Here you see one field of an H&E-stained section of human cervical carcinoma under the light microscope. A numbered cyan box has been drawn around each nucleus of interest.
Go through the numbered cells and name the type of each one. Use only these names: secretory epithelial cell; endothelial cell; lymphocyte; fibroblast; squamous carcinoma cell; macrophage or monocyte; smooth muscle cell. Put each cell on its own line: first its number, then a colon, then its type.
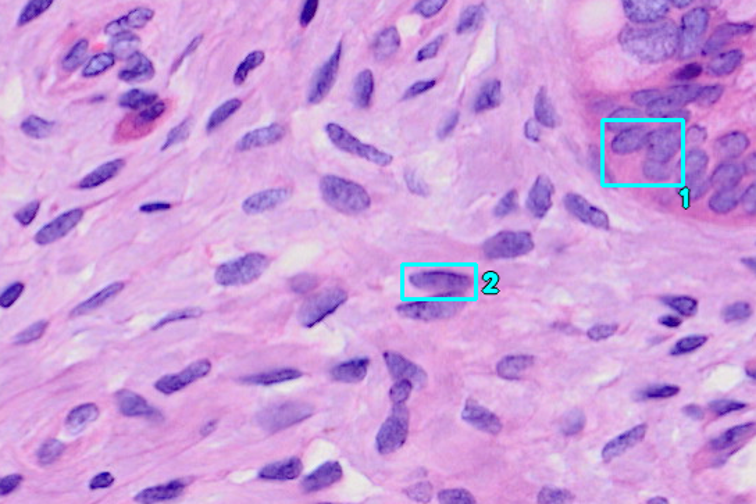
1: secretory epithelial cell
2: fibroblast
